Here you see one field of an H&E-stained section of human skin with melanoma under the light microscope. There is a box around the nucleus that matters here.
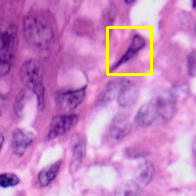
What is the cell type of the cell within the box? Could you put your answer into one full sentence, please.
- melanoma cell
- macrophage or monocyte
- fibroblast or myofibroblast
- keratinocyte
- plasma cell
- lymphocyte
The category to which the cell within the box belongs is that of a macrophage or monocyte.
